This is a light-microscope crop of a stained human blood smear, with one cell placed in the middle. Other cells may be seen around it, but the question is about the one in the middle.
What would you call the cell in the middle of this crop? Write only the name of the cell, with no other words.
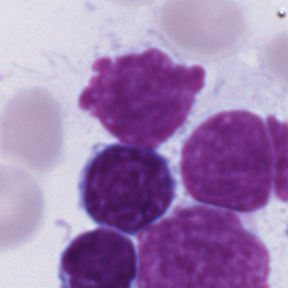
myeloblast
